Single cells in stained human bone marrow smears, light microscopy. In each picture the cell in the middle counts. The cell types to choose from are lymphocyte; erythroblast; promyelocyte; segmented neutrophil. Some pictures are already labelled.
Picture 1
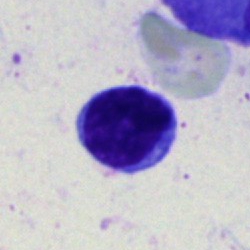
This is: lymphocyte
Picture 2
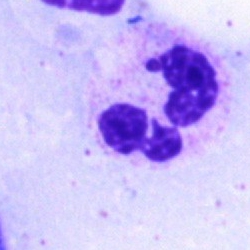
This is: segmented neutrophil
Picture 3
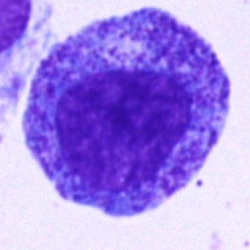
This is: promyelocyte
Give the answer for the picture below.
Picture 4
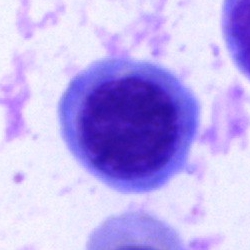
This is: erythroblast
